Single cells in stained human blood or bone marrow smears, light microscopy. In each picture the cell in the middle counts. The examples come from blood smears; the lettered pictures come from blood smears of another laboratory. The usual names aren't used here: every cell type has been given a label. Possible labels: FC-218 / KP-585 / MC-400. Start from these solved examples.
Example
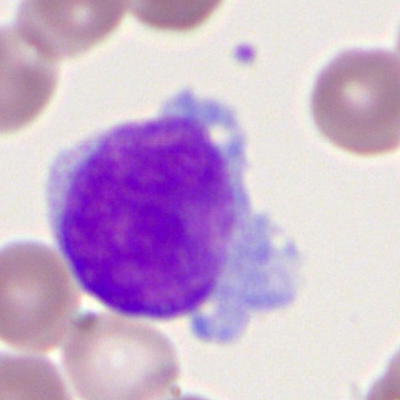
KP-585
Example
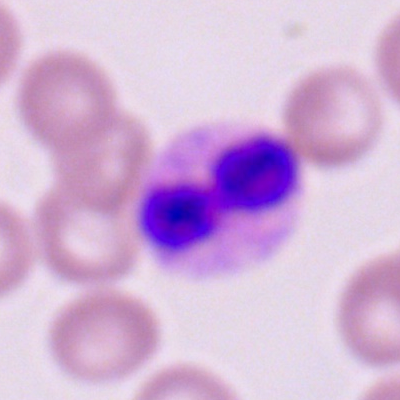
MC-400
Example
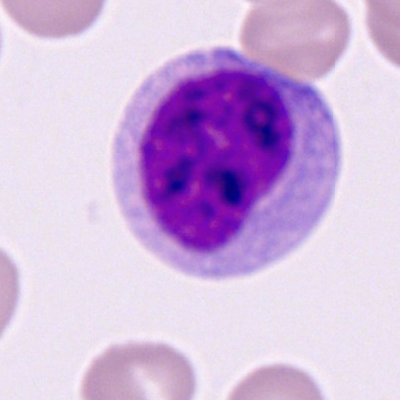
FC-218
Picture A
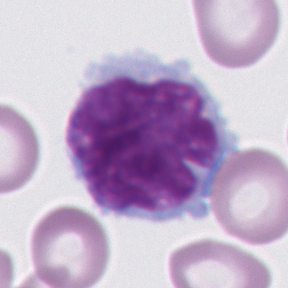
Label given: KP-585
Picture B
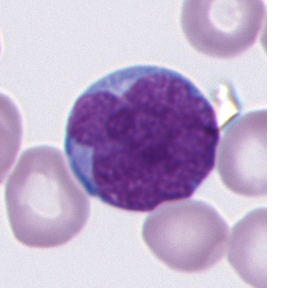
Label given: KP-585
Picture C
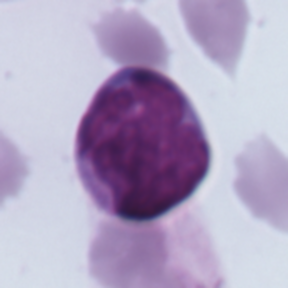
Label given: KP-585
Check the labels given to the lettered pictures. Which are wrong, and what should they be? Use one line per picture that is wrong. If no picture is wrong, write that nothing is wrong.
All correct.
